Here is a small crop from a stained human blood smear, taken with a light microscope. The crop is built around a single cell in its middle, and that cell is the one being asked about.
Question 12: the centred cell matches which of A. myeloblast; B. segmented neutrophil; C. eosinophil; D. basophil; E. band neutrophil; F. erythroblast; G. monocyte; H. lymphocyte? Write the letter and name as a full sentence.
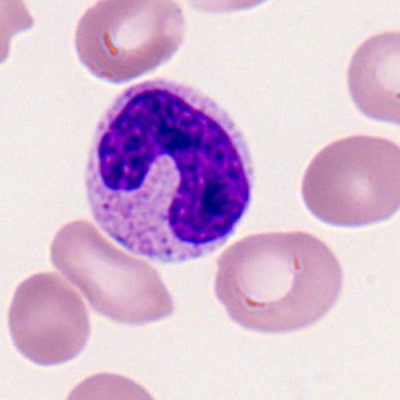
Here the right option is E, as the cell in the middle is a band neutrophil.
